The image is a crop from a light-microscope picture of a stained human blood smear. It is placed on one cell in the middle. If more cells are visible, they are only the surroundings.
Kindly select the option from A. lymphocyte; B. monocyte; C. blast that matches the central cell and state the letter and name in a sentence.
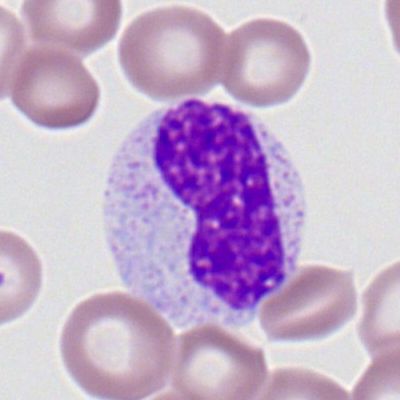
The centrally positioned cell is a monocyte, consistent with option B, which is correct.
